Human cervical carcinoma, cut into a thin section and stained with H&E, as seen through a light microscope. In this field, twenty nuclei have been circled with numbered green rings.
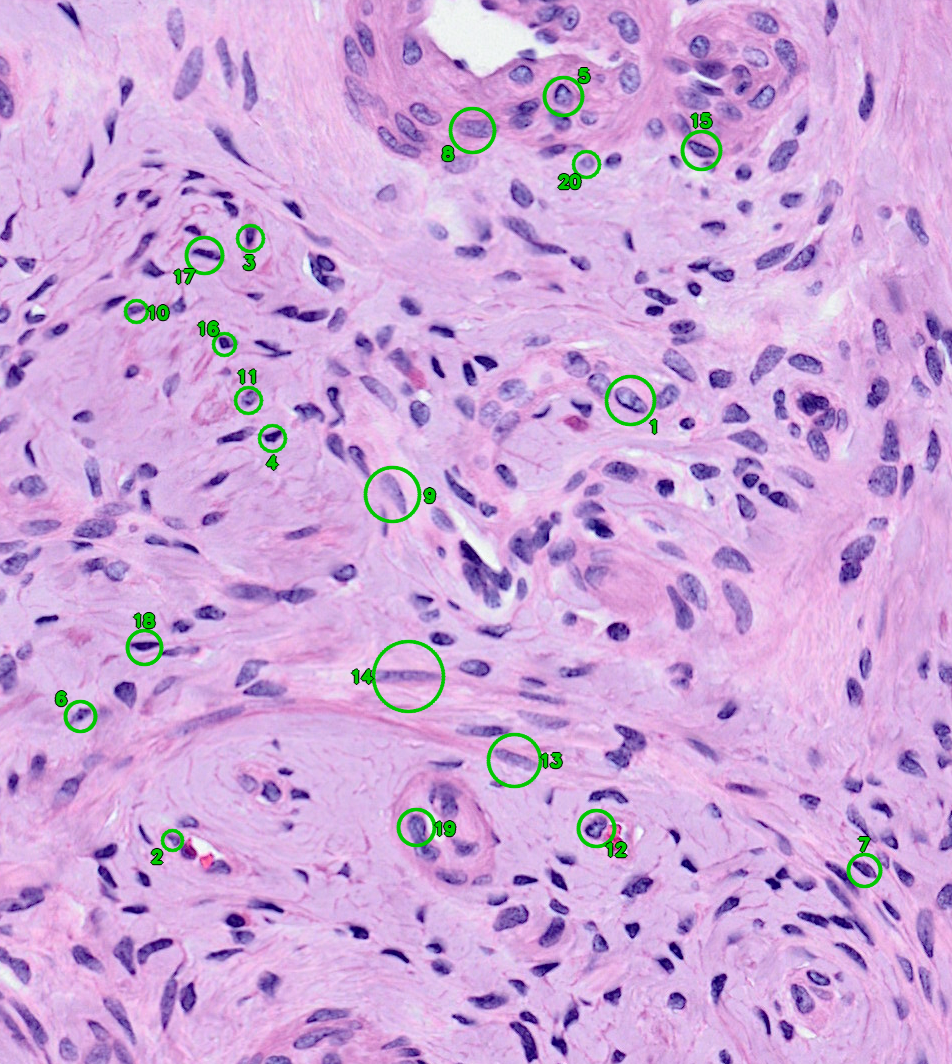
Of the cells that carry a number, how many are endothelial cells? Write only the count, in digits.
4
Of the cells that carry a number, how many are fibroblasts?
7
